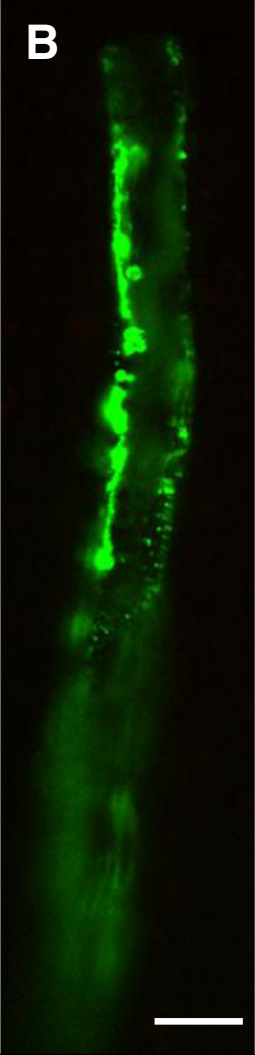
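The green signal outlines a long, narrow tube running along the strand. Within it lie bright, irregular, globular clumps and finer dots. Towards the lower end the green fades to a dim, diffuse glow.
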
